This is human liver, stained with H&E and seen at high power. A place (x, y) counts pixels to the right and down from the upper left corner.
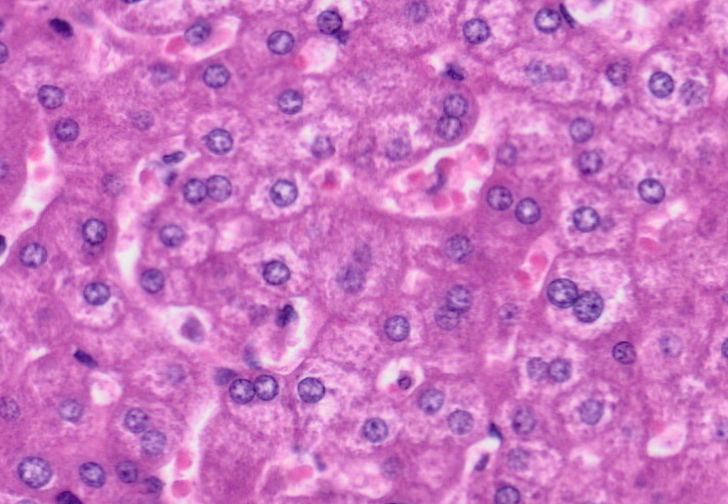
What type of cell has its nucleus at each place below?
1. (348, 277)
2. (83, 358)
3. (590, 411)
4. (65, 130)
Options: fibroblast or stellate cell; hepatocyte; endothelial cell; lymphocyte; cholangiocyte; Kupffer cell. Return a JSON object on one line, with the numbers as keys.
{"1": "hepatocyte", "2": "fibroblast or stellate cell", "3": "hepatocyte", "4": "hepatocyte"}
